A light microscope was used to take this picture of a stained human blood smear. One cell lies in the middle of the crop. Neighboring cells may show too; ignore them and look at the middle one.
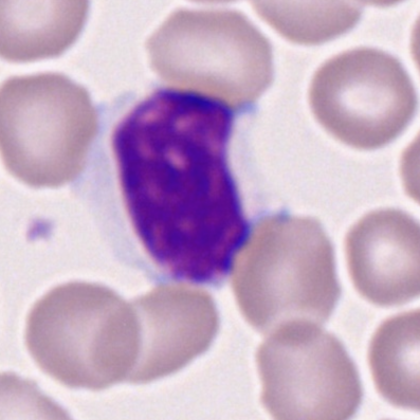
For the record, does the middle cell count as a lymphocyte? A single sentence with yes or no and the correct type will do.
Yes, the cell lying in the centre of the crop is identified as a lymphocyte.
